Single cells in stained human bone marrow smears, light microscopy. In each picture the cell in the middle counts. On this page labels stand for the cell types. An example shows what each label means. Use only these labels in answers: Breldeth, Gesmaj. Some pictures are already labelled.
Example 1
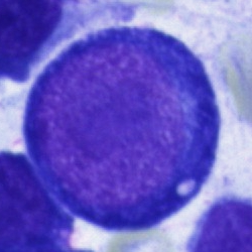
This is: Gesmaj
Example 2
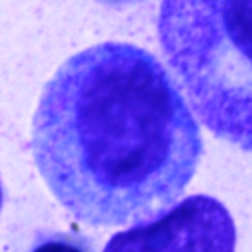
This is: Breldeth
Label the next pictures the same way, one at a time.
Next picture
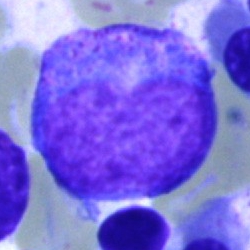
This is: Breldeth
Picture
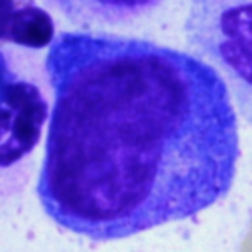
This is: Breldeth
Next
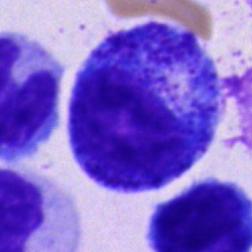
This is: Breldeth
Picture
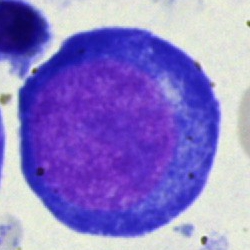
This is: Gesmaj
